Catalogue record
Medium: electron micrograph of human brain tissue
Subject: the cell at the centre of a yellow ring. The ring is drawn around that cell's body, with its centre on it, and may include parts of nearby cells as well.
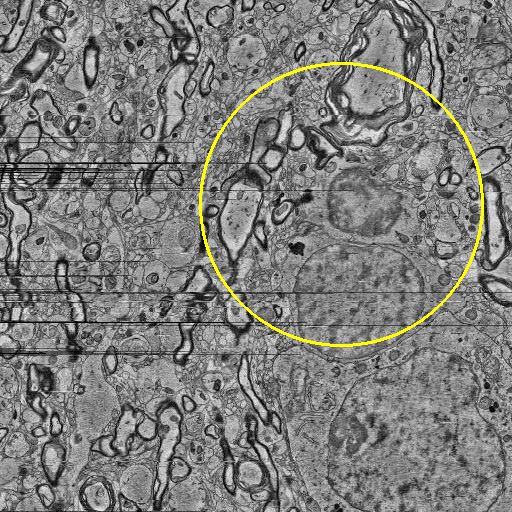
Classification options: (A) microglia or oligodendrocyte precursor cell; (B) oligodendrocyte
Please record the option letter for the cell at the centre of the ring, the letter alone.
B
